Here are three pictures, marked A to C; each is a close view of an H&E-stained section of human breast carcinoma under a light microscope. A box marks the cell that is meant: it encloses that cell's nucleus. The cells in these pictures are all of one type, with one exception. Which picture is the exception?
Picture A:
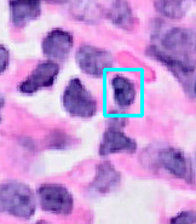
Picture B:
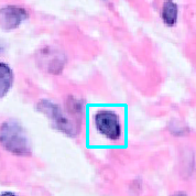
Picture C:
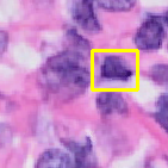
C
